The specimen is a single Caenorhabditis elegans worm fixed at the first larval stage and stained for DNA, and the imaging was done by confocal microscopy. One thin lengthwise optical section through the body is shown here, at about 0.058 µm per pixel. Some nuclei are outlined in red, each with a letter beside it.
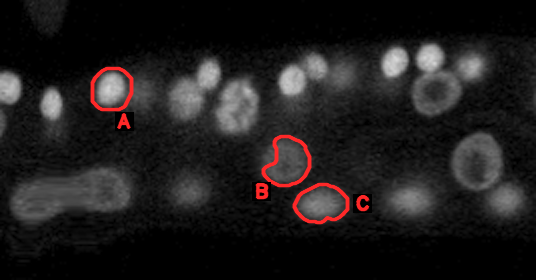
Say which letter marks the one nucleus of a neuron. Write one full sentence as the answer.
A is from a neuron.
